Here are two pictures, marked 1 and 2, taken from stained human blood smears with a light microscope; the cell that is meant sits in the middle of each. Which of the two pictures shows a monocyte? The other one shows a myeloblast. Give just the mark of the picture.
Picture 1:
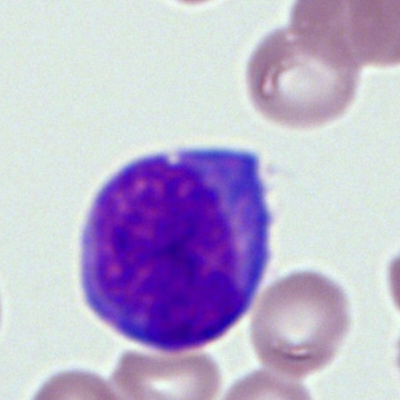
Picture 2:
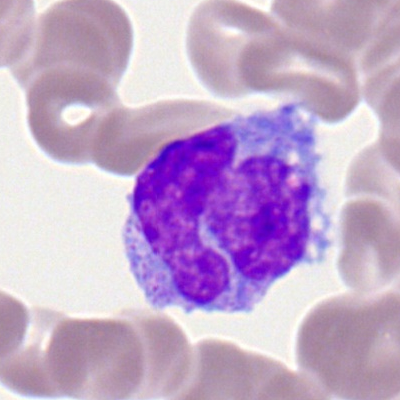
2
